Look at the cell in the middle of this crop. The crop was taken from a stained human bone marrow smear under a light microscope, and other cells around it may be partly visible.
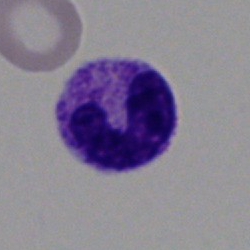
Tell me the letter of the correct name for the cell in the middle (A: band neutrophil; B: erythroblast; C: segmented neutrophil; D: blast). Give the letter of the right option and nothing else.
A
